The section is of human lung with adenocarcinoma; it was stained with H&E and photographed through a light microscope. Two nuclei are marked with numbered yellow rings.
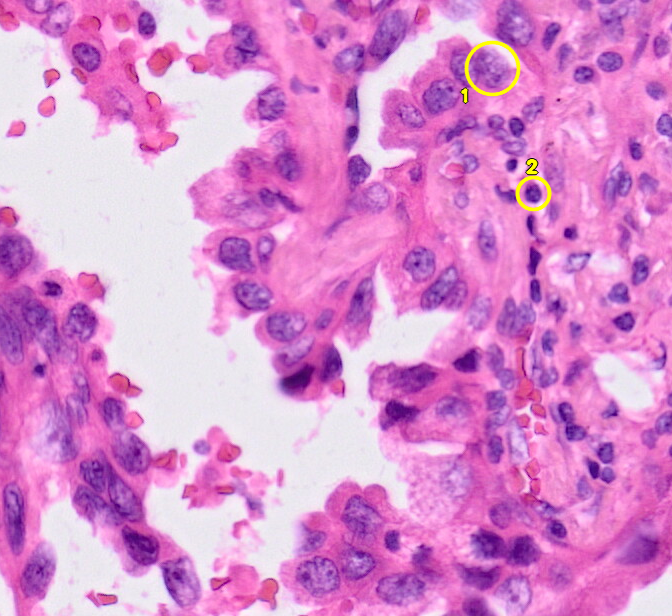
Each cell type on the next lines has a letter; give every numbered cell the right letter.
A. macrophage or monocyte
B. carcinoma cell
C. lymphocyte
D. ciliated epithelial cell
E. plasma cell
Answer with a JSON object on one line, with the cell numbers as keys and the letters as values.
{"1": "B", "2": "C"}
